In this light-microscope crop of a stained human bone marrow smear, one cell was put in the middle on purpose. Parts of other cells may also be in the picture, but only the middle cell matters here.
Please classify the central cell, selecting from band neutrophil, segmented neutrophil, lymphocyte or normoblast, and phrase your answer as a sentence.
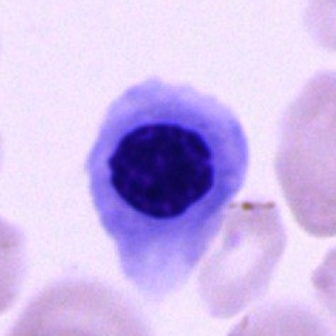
The central element of this crop is a cell, namely a normoblast.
